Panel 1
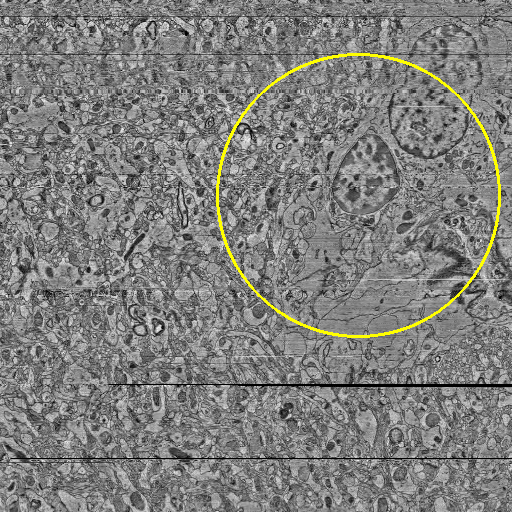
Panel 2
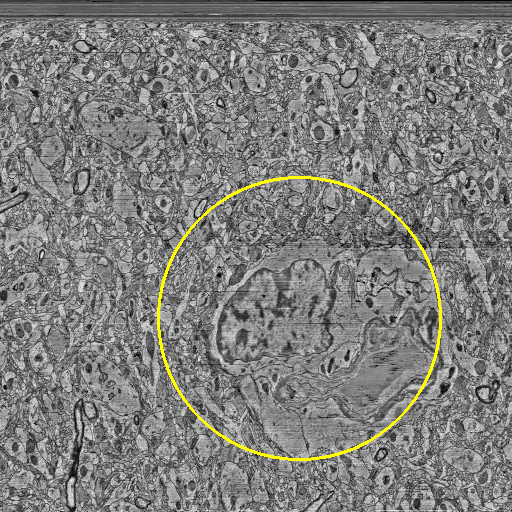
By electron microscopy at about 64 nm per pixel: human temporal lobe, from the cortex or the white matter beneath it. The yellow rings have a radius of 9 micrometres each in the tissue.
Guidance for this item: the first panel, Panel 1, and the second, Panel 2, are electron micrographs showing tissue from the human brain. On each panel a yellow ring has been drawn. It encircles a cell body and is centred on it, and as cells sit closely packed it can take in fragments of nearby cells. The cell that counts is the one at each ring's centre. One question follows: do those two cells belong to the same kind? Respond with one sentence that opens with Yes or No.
Yes, the cells at the ring centres in Panel 1 and Panel 2 are of one kind.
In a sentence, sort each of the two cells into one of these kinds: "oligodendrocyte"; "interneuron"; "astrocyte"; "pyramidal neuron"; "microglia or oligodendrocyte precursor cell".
The second cell is a microglial cell or oligodendrocyte precursor cell, just as the first is.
